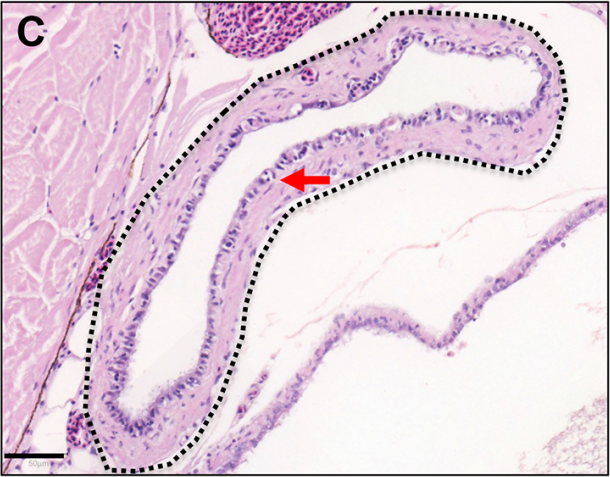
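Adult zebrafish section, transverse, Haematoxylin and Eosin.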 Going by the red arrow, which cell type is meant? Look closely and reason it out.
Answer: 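The arrow points at the cell layer lining the lumen. The cells form a continuous sheet with rounded nuclei facing the lumen.
Answer: epithelial cells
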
